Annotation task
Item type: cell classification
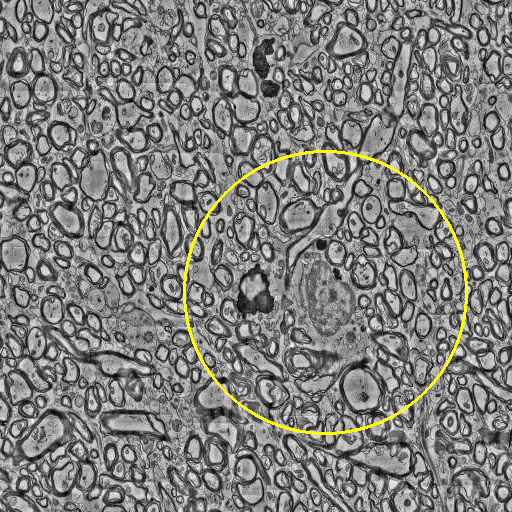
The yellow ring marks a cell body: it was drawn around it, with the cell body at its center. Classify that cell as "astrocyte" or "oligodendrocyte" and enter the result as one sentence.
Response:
The ring's center falls on an oligodendrocyte.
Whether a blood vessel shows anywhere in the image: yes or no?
No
